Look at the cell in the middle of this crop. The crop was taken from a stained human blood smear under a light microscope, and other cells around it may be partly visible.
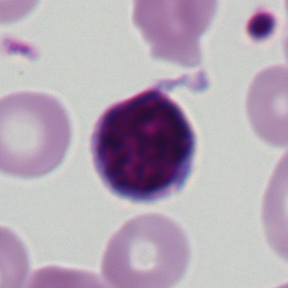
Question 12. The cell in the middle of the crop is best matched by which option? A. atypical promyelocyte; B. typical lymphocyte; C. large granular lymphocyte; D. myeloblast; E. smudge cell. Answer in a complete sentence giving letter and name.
The middle of the crop holds a typical lymphocyte, which points to option B.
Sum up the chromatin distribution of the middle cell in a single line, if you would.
Take a look at the chromatin, which is coarsely clumped.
